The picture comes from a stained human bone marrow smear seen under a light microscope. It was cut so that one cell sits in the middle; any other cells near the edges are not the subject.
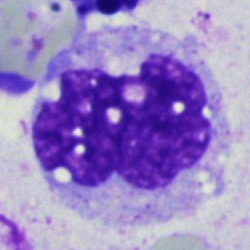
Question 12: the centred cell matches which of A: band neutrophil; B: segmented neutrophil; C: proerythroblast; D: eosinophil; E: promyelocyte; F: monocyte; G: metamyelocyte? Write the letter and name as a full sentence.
The middle cell of the crop is a monocyte; accordingly, option F is correct.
